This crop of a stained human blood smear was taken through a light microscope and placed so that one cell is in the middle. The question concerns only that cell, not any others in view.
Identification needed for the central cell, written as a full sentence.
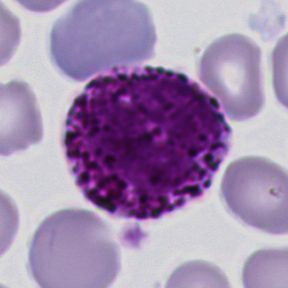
For this crop, the central cell is a basophil.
